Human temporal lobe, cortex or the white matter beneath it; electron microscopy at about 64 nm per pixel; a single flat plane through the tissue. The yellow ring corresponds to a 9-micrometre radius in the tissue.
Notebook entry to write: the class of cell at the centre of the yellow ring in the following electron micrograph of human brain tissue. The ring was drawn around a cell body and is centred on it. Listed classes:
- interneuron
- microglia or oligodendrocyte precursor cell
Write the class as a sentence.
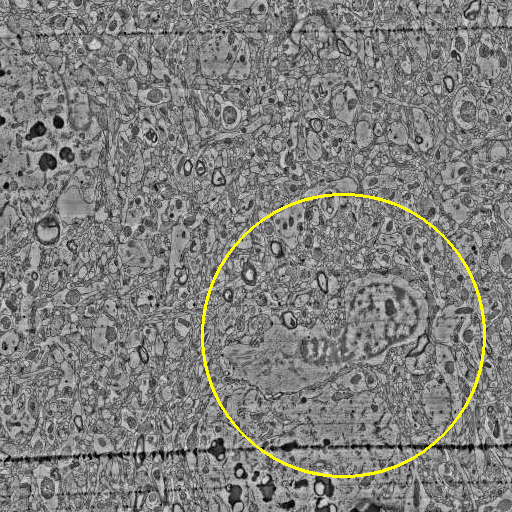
The yellow ring sits on a microglial cell or oligodendrocyte precursor cell.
